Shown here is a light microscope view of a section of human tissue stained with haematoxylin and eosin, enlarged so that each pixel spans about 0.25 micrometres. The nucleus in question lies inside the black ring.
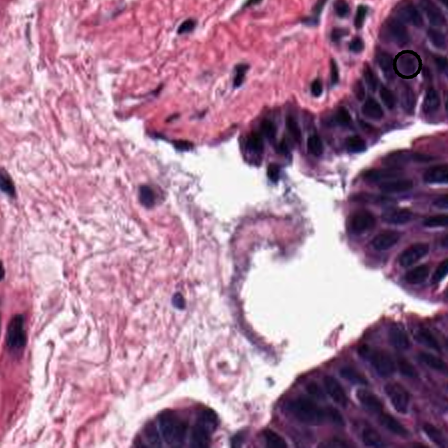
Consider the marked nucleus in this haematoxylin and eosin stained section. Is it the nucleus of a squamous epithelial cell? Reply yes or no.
yes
